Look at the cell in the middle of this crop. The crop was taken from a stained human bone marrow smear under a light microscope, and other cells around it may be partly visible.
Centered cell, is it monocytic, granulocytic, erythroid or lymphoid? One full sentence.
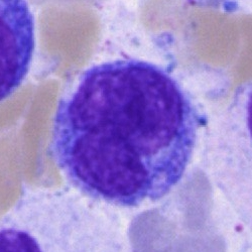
The cell at the center of this crop is categorized as monocytic in lineage.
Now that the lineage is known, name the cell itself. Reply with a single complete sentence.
In the middle of this smear crop, the cell is a monocyte.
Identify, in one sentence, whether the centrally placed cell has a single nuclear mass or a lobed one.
The nuclear material is gathered into one compact round, oval or kidney-shaped mass.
